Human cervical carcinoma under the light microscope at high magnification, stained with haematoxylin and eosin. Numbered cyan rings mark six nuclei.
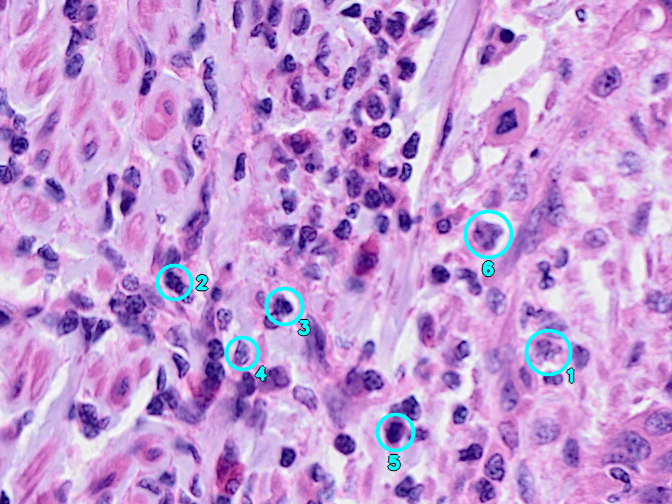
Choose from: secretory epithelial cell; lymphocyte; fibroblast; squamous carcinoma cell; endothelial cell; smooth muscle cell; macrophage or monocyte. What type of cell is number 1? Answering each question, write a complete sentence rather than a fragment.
Among the marked cells, number 1 is a macrophage or monocyte.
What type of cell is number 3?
The cell to which the number 3 is assigned is a lymphocyte.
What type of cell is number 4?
The nucleus marked 4 is the nucleus of a lymphocyte.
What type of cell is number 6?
The cell that bears the number 6 is a macrophage or monocyte.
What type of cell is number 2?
Nucleus 2 in this section belongs to a lymphocyte.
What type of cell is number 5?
The cell numbered 5 represents a lymphocyte.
